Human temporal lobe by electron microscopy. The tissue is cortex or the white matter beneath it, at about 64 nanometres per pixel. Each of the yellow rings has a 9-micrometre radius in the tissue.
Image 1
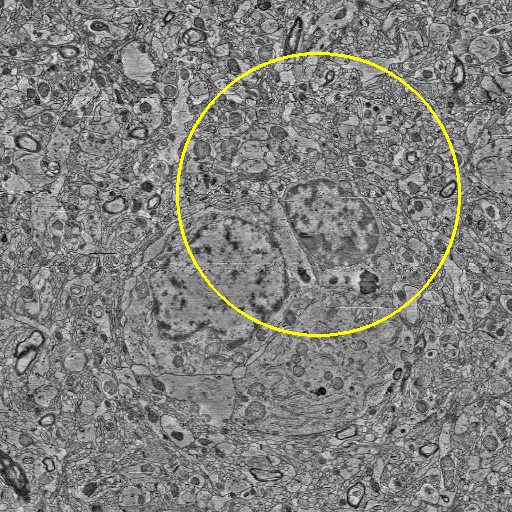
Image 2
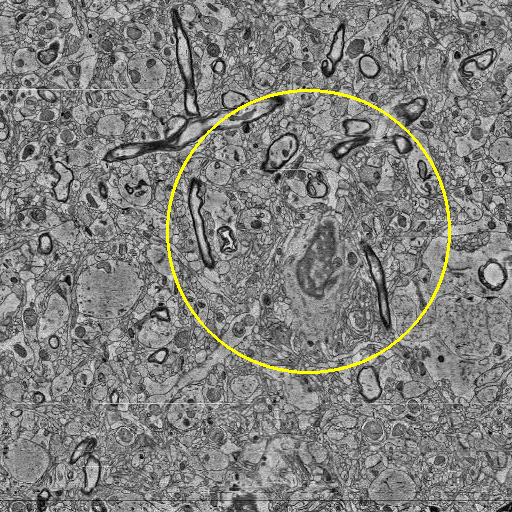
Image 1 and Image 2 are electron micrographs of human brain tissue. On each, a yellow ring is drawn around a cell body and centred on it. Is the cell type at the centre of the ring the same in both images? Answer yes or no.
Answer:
yes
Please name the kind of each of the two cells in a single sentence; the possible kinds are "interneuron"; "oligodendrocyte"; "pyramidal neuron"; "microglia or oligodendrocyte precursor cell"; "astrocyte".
In each picture the ringed cell is an oligodendrocyte.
